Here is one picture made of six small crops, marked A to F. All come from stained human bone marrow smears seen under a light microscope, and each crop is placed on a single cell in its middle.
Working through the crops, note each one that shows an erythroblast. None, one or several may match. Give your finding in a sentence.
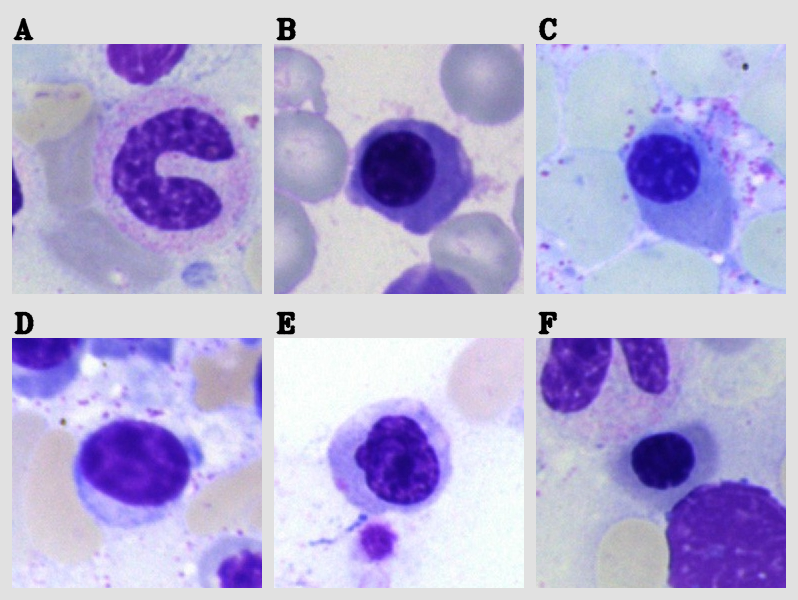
Crops B, C, E and F display erythroblasts in the centre of the field.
